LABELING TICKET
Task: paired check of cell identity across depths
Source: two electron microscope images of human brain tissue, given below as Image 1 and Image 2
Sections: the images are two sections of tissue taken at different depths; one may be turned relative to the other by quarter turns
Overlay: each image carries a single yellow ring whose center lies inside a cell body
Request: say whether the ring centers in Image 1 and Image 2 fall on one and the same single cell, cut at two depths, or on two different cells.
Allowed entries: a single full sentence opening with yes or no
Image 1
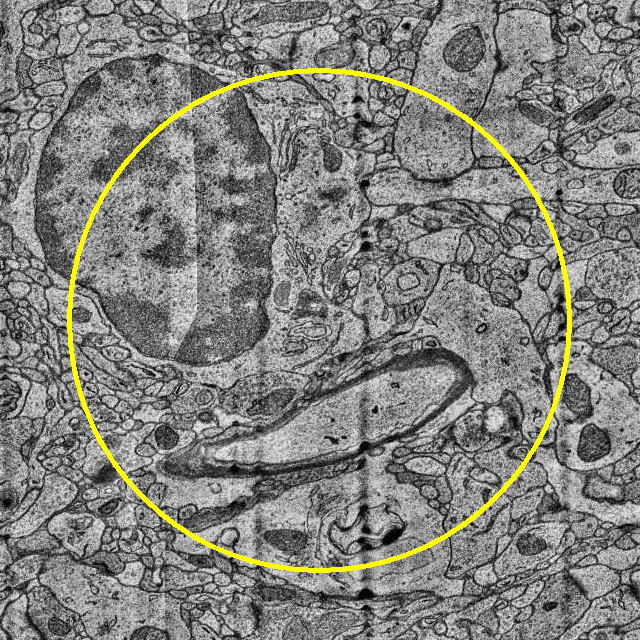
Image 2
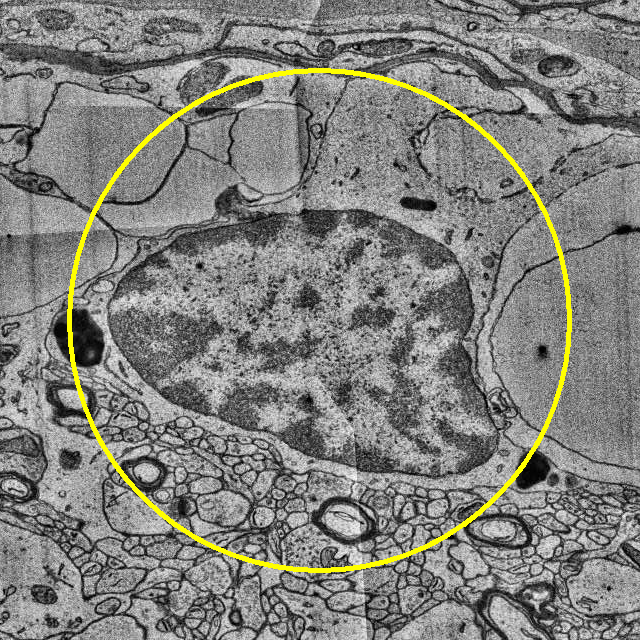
No, the cells inside the two rings are not the same cell.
